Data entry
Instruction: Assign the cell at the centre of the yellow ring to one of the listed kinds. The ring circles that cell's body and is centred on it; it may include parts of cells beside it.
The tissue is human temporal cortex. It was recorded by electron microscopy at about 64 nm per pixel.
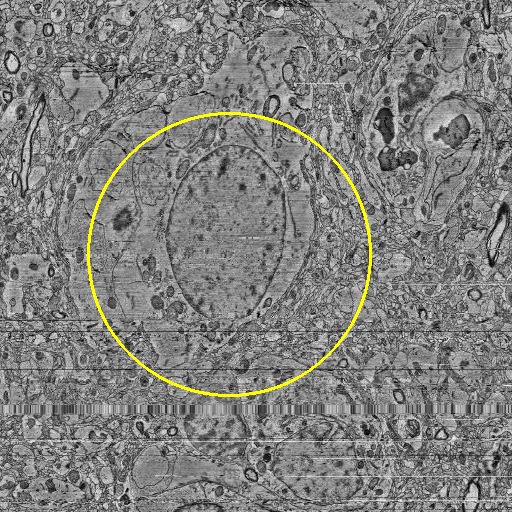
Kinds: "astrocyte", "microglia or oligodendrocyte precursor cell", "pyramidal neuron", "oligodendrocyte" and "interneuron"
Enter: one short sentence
The centre of the ring falls on an astrocyte.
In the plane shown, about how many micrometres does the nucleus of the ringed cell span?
The nucleus comes to approximately 12 by 8 micrometres and is clearly longer than it is wide in this plane.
